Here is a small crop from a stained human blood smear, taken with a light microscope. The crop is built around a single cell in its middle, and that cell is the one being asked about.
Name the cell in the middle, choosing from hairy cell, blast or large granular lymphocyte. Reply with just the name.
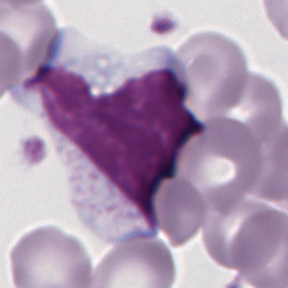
large granular lymphocyte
